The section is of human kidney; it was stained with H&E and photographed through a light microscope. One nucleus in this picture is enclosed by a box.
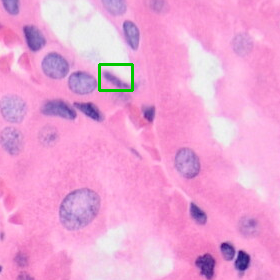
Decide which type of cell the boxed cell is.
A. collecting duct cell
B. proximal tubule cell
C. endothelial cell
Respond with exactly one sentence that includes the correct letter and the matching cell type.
In agreement with option A, the boxed cell is a collecting duct cell.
